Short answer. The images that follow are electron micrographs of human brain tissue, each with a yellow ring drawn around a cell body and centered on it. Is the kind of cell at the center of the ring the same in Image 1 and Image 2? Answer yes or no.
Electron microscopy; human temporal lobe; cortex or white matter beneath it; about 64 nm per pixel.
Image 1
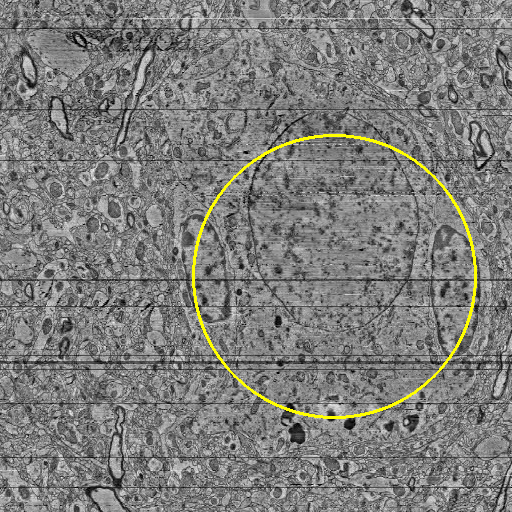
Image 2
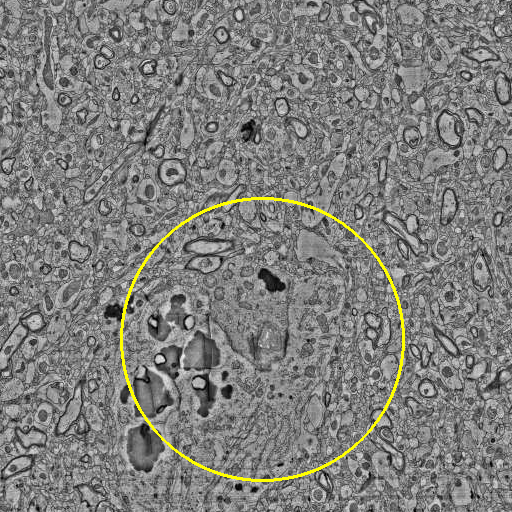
no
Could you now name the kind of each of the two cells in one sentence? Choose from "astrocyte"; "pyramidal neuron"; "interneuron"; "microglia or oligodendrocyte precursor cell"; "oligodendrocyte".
The first ring encloses a pyramidal neuron; the second ring encloses an oligodendrocyte.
